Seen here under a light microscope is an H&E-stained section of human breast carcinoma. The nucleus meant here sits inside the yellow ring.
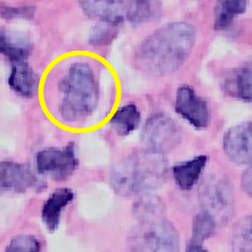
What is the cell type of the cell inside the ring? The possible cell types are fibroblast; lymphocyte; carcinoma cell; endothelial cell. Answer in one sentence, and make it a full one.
Placed in its cell category, the cell inside the ring is a carcinoma cell.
